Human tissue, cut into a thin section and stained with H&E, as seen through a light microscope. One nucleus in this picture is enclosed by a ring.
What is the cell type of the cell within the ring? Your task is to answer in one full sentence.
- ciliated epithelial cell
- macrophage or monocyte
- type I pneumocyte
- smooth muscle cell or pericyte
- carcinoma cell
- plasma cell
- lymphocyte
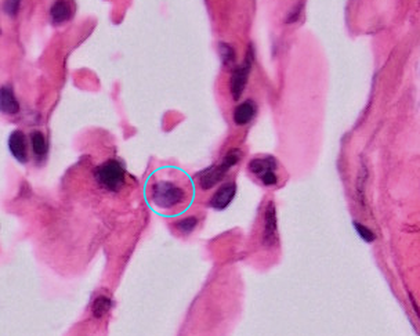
As far as its identity is concerned, the cell within the ring is a type I pneumocyte.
